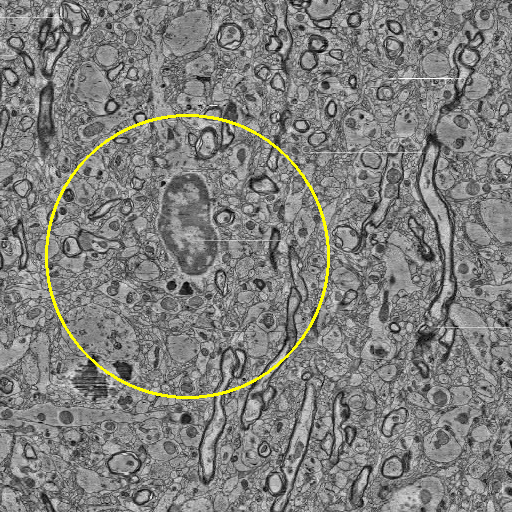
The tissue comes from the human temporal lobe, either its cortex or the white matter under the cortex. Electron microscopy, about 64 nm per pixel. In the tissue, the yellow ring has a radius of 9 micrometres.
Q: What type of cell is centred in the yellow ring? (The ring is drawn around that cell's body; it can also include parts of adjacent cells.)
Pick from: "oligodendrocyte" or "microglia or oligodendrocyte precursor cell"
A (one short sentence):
The yellow ring is centred on a microglial cell or oligodendrocyte precursor cell.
